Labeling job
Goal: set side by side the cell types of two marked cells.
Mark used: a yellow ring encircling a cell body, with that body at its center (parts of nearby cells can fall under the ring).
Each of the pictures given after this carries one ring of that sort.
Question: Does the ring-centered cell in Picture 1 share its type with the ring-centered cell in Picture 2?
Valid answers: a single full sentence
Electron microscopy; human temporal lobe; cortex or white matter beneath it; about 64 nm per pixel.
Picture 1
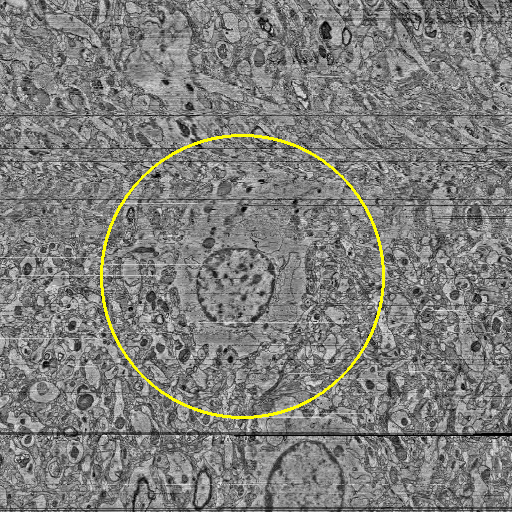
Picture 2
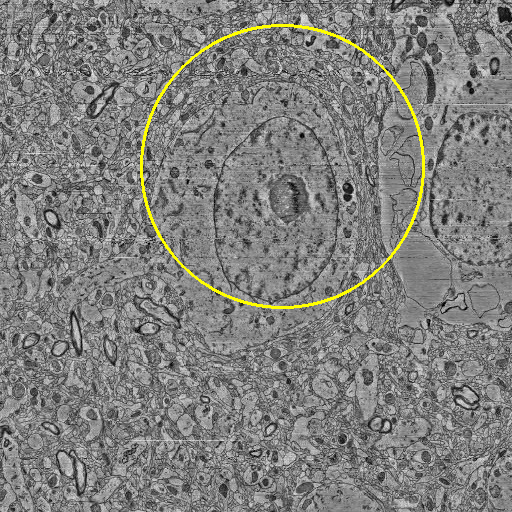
No, in Pictures 1 and 2 the cells at the ring centers have separate types.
